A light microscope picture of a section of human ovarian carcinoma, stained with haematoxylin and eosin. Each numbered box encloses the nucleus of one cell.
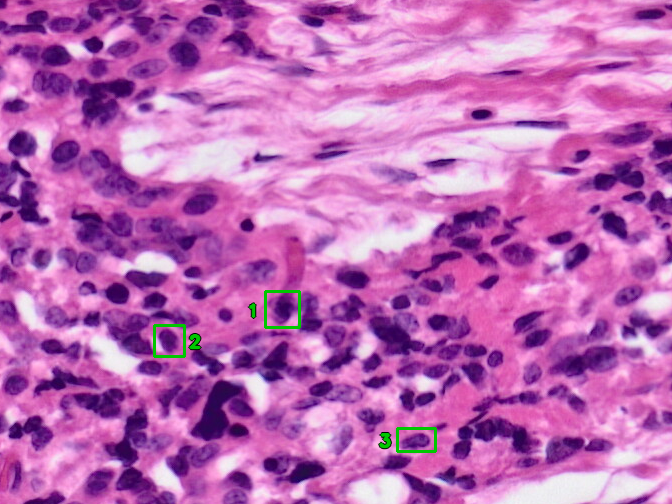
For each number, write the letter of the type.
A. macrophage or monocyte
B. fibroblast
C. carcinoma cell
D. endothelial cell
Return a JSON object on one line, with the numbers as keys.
{"1": "C", "2": "C", "3": "A"}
